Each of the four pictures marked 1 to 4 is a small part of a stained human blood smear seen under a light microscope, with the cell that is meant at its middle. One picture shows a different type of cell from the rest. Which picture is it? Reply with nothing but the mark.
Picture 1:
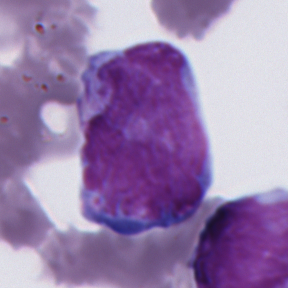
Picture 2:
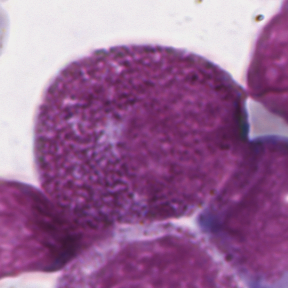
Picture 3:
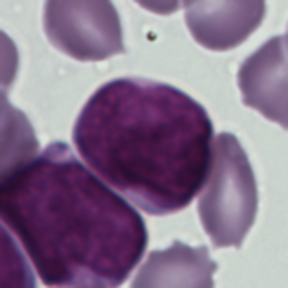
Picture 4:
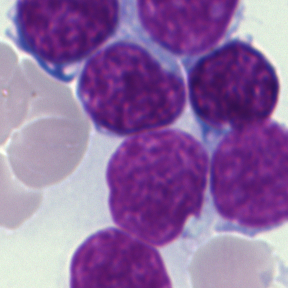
2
